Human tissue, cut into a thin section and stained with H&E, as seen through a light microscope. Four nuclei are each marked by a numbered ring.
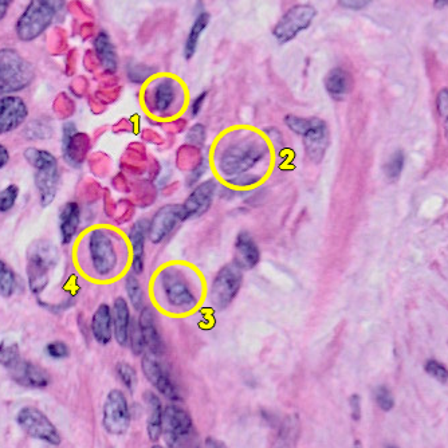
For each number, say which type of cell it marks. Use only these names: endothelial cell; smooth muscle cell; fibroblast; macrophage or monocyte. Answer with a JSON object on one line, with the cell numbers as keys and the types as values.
{"1": "endothelial cell", "2": "endothelial cell", "3": "smooth muscle cell", "4": "endothelial cell"}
